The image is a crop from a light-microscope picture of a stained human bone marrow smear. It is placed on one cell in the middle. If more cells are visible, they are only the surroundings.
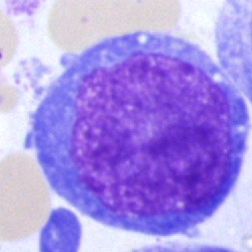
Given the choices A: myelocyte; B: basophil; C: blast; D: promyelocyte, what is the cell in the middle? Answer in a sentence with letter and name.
The middle of the crop contains a blast, so option C is right.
